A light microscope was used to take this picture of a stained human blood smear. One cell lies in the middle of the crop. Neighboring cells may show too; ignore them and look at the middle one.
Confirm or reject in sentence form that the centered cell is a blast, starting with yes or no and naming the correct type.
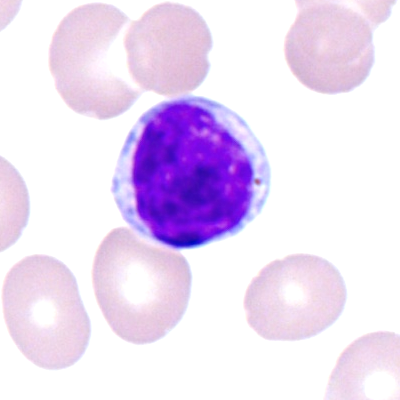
No, what is seen at the centre is a lymphocyte instead of a blast.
